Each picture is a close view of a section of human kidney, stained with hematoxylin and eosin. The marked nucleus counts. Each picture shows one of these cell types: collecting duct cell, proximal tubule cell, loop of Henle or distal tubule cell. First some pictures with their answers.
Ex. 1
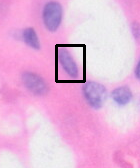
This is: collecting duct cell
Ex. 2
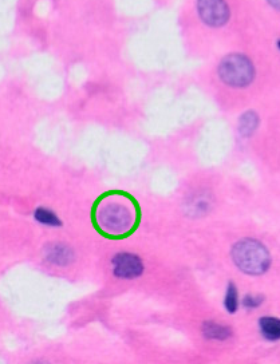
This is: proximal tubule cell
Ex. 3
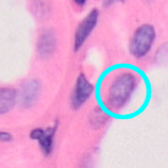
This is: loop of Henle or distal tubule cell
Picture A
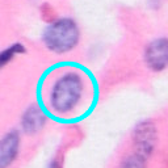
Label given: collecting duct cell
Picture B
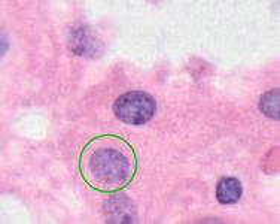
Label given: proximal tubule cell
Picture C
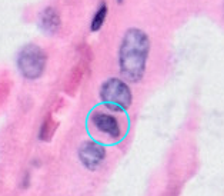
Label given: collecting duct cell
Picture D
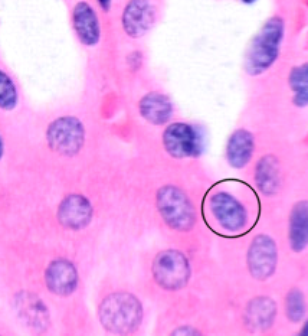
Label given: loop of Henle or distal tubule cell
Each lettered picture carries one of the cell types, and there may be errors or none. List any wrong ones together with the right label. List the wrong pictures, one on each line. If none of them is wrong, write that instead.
Nothing to fix; every label fits.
